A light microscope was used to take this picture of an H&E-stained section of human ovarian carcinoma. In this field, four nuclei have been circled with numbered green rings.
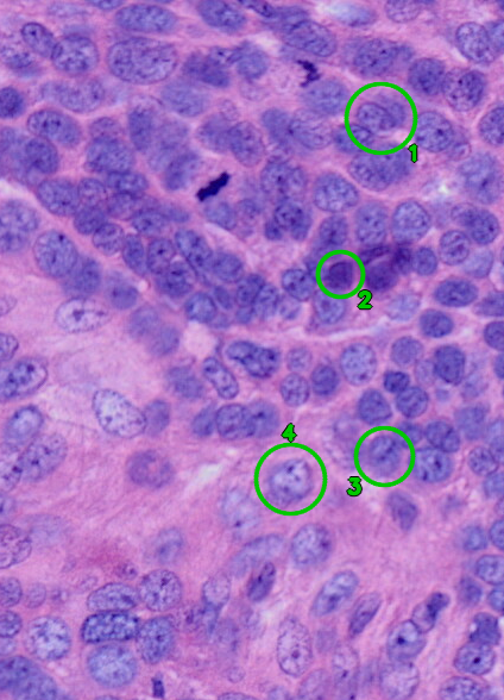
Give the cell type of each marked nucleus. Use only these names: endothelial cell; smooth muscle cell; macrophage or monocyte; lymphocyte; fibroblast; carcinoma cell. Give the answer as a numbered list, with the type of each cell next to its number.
1. carcinoma cell
2. carcinoma cell
3. carcinoma cell
4. fibroblast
